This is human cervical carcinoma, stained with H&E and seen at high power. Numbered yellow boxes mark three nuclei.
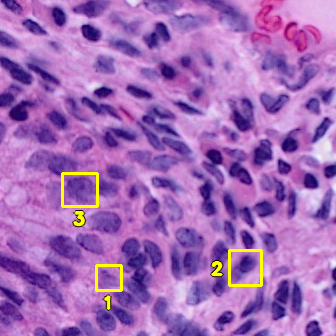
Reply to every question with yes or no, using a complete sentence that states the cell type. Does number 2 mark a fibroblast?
Yes, the cell tagged with number 2 is a fibroblast.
